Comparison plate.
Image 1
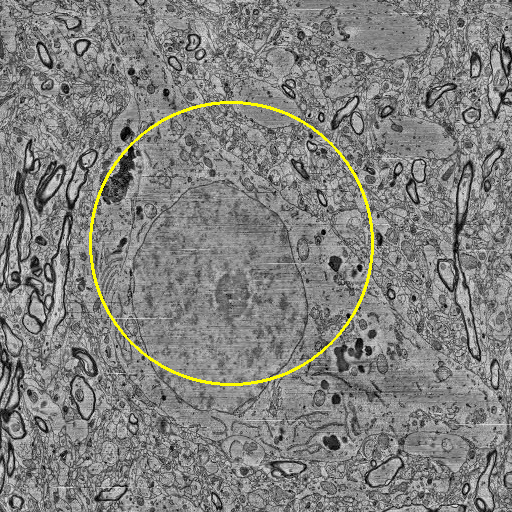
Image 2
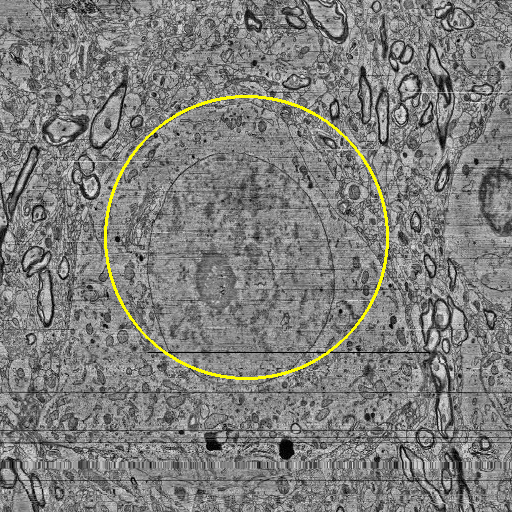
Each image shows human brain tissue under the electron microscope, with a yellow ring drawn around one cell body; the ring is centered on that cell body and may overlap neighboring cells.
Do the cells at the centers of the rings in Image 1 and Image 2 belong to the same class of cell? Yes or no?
yes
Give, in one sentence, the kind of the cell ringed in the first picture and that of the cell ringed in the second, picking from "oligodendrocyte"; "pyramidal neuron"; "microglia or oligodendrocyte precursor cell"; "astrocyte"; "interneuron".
Each cell at the centre of a ring is a pyramidal neuron.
